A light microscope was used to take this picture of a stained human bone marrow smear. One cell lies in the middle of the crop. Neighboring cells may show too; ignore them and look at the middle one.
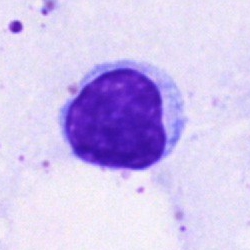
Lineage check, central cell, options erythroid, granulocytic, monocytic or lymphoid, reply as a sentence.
The central cell of this crop is identified as belonging to the lymphoid lineage.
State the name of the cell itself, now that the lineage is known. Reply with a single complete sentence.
The cell that lies at the centre of the crop is a lymphocyte.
